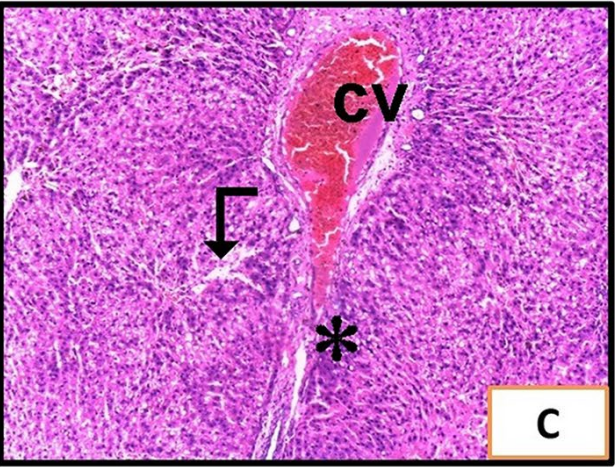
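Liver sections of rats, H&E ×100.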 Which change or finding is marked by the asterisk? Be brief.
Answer: Inflammatory cells infiltrates.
